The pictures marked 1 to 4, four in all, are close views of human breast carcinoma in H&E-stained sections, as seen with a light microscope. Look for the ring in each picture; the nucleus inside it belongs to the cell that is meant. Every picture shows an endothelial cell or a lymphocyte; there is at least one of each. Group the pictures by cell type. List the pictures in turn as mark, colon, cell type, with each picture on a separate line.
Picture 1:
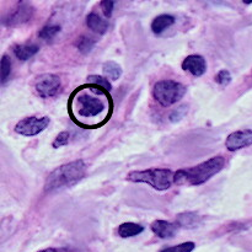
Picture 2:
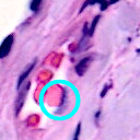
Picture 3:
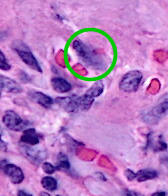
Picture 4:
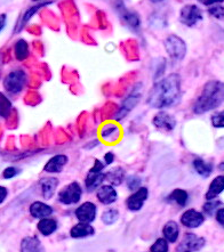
1: lymphocyte
2: endothelial cell
3: endothelial cell
4: endothelial cell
